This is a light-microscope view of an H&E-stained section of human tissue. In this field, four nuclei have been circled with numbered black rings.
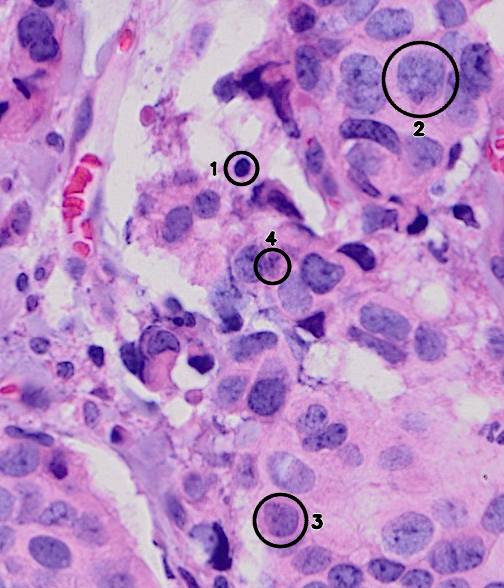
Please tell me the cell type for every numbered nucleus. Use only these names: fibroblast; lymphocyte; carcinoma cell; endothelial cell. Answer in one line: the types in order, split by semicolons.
lymphocyte; carcinoma cell; carcinoma cell; carcinoma cell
